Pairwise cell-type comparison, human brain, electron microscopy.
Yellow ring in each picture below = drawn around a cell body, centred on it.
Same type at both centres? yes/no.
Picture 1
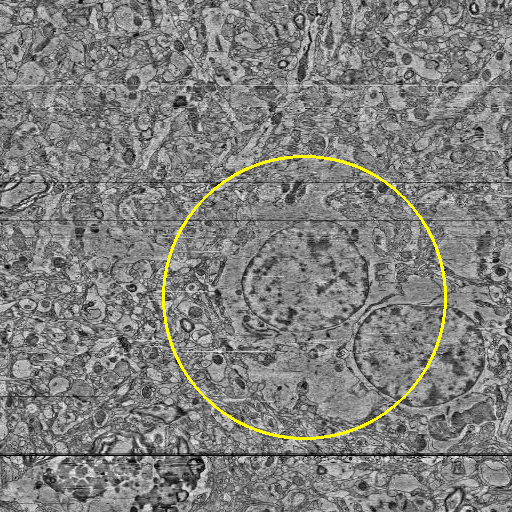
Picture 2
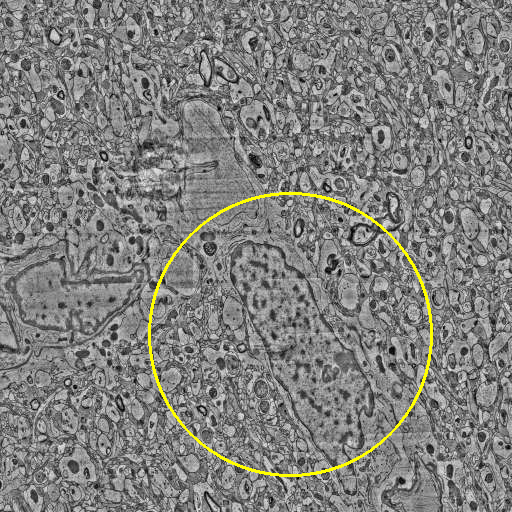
no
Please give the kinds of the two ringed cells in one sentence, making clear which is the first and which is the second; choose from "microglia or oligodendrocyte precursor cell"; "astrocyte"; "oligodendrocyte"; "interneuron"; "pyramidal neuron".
In the second picture the ringed cell is a microglial cell or oligodendrocyte precursor cell; in the first it is an astrocyte.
